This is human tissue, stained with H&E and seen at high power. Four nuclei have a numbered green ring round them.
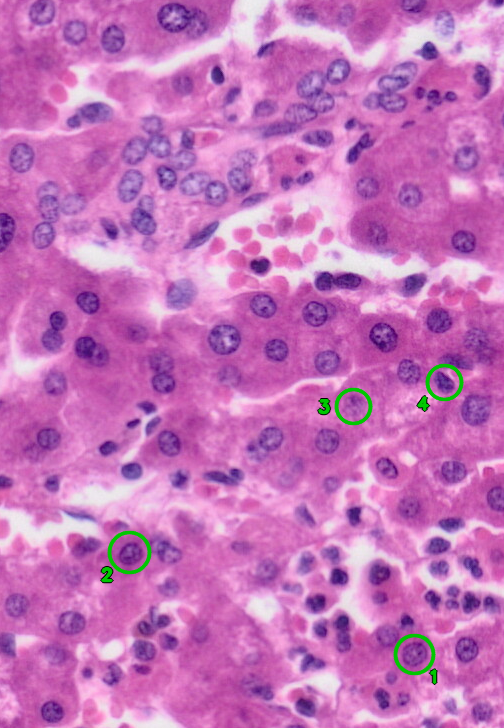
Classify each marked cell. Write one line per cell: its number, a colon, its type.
1: hepatocyte
2: hepatocyte
3: hepatocyte
4: fibroblast or stellate cell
